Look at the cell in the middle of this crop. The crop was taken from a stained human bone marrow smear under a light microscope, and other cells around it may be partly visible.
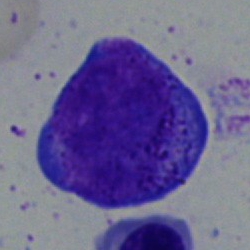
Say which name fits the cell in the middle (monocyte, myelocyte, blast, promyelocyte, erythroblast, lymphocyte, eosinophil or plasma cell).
promyelocyte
